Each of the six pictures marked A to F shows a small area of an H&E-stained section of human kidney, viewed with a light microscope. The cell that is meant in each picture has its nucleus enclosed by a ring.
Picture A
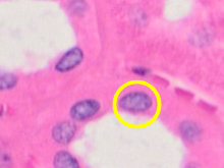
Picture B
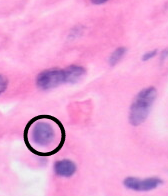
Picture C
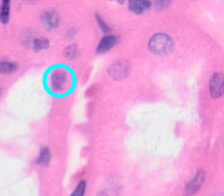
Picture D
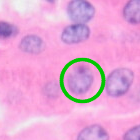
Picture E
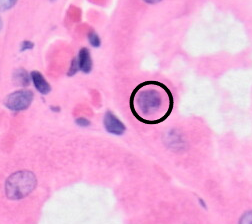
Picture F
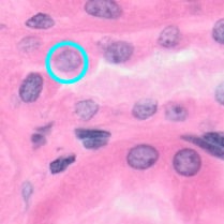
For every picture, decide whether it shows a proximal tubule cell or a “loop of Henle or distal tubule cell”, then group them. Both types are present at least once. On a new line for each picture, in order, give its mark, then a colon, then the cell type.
A: loop of Henle or distal tubule cell
B: loop of Henle or distal tubule cell
C: loop of Henle or distal tubule cell
D: proximal tubule cell
E: proximal tubule cell
F: loop of Henle or distal tubule cell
